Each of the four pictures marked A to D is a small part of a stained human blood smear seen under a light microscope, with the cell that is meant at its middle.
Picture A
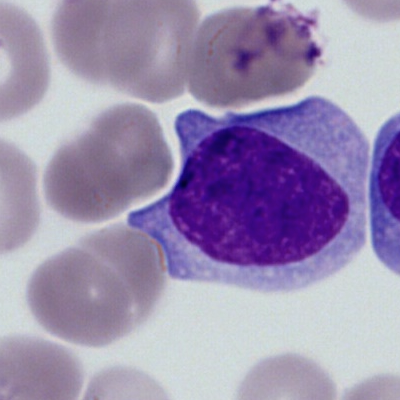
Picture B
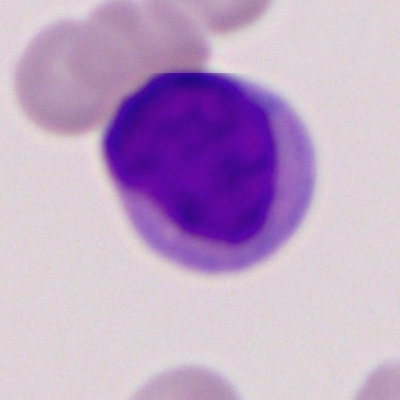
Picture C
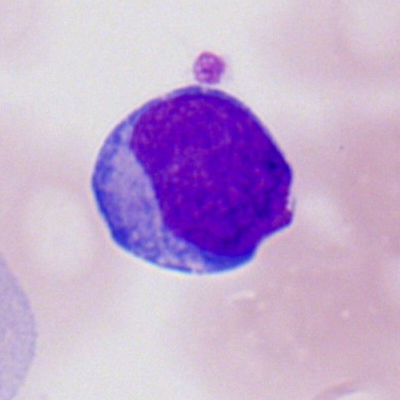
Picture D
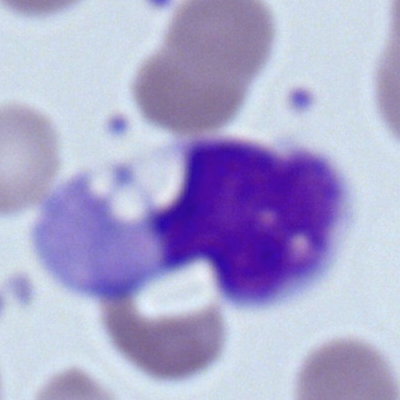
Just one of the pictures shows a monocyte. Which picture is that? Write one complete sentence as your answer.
The cell in picture D is the monocyte.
